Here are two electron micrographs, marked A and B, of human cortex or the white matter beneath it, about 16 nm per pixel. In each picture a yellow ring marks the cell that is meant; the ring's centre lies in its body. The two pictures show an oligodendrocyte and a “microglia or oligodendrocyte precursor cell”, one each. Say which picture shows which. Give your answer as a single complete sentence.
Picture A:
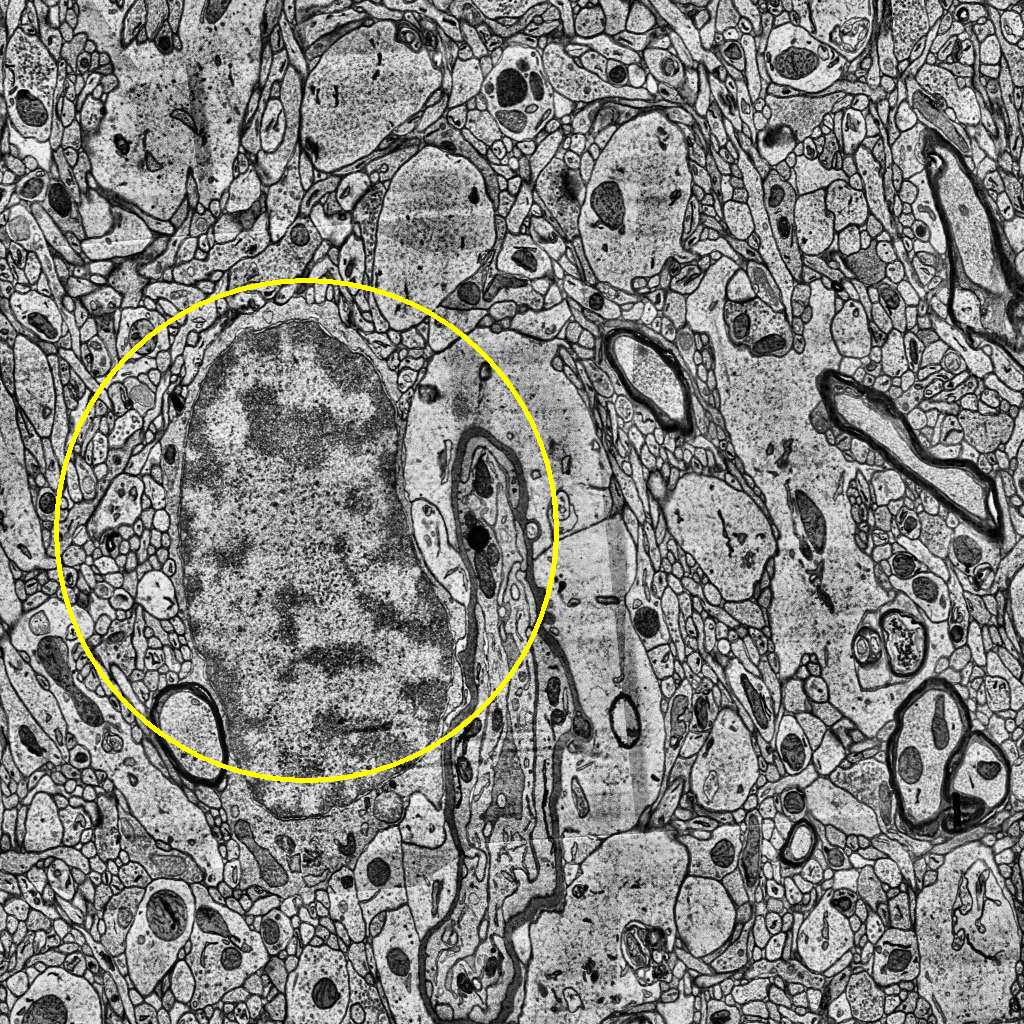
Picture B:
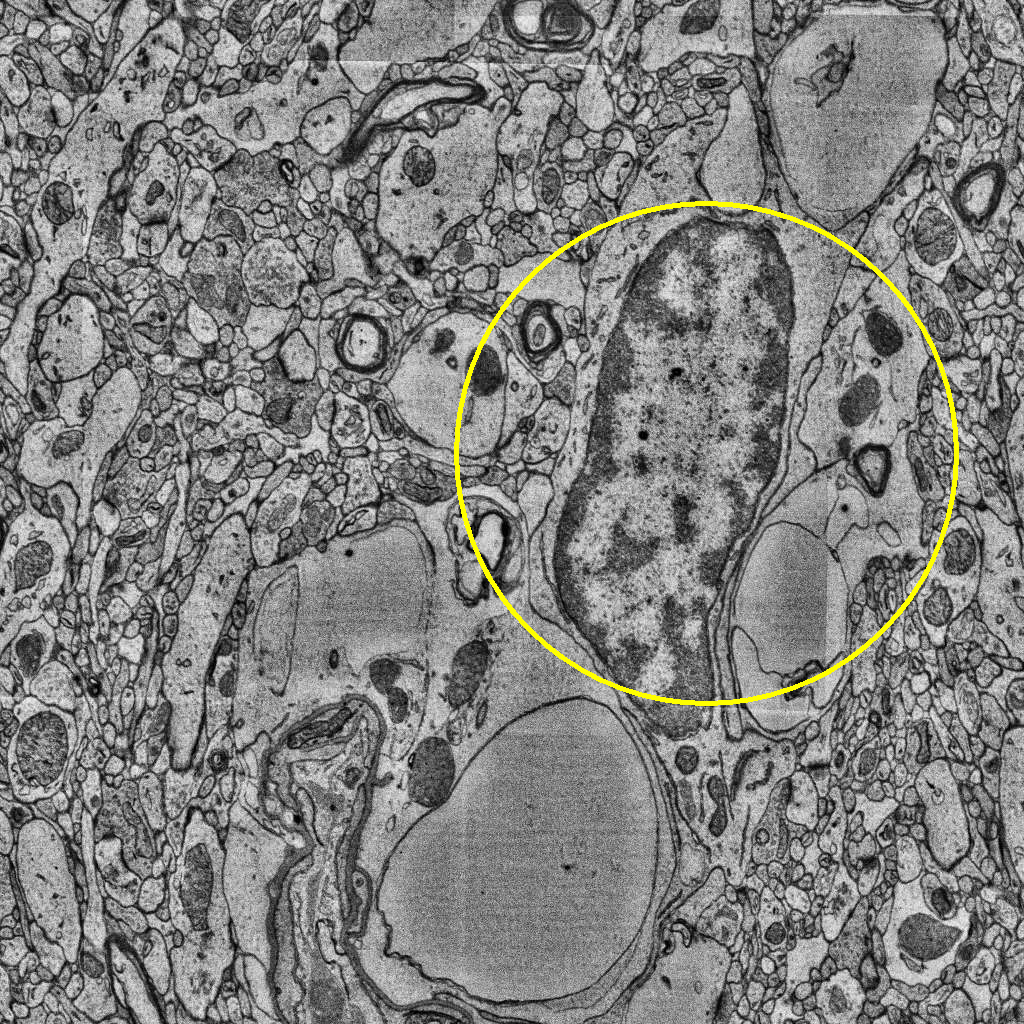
In picture A the cell is an oligodendrocyte; in picture B, a “microglia or oligodendrocyte precursor cell”.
